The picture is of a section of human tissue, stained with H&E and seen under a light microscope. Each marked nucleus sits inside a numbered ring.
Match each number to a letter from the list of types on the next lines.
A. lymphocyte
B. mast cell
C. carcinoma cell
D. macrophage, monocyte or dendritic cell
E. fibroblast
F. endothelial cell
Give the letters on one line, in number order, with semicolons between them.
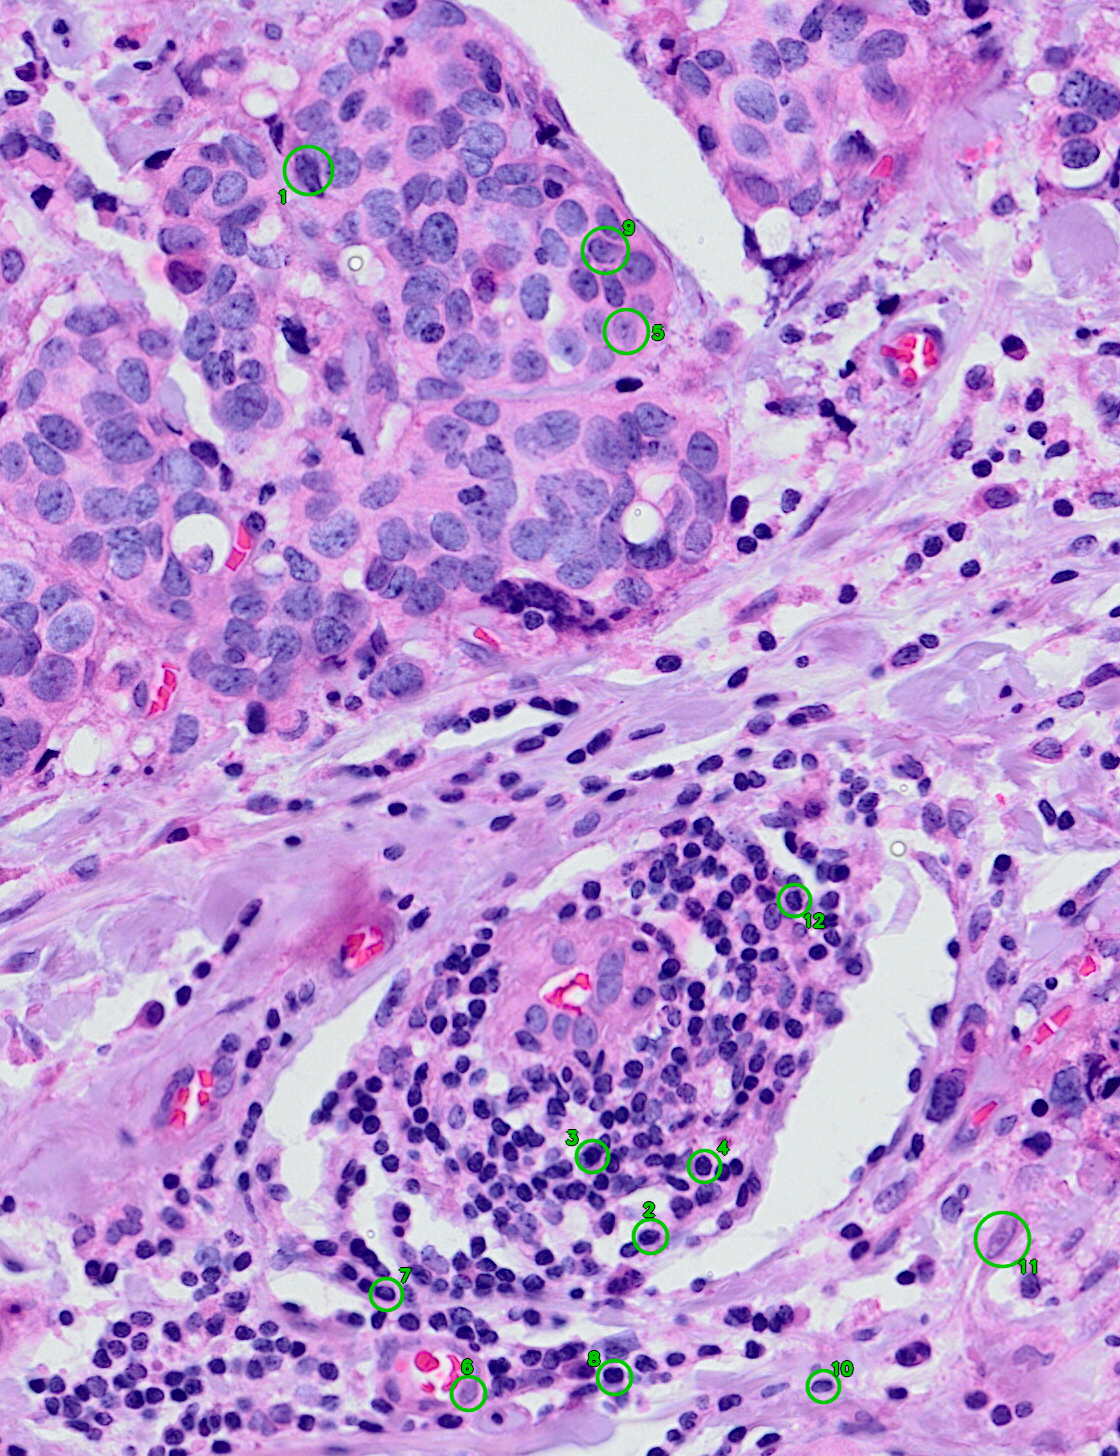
C; A; A; A; C; F; A; A; C; A; E; A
